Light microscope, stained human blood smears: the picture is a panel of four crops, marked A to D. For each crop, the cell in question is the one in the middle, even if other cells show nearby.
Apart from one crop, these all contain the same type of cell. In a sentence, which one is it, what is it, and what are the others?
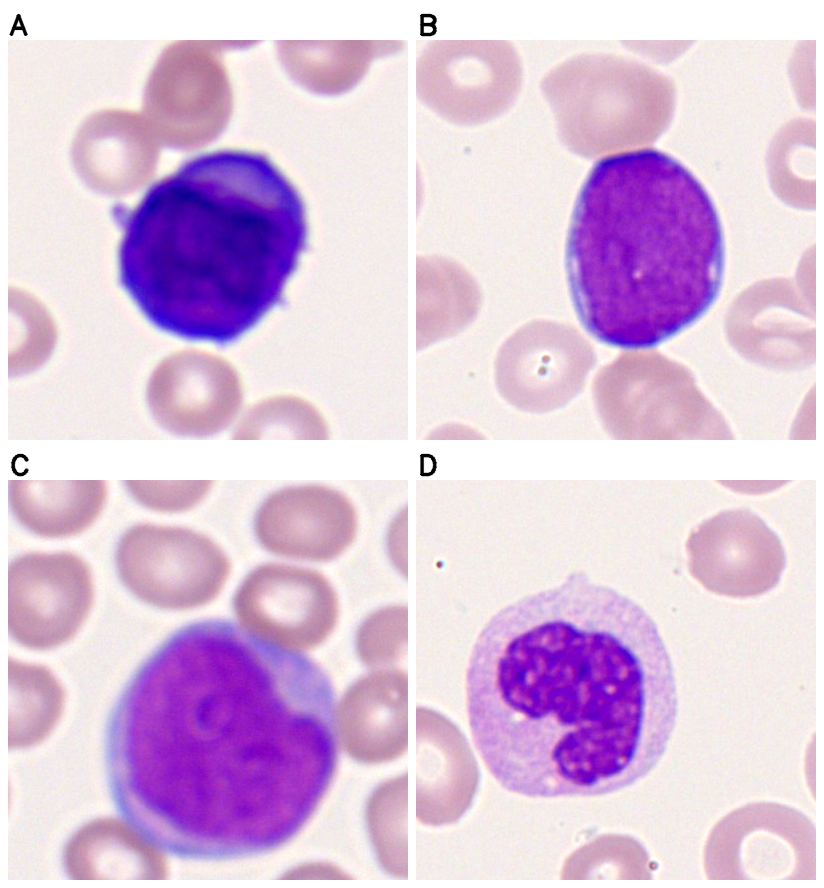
The single exception among the crops is crop D, which is a monocyte; the rest show myeloblasts.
